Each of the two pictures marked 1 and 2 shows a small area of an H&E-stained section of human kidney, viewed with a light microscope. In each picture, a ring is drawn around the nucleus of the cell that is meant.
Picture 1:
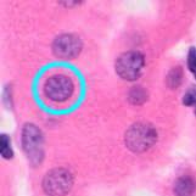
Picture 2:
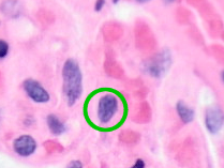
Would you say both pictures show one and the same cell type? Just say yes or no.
no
